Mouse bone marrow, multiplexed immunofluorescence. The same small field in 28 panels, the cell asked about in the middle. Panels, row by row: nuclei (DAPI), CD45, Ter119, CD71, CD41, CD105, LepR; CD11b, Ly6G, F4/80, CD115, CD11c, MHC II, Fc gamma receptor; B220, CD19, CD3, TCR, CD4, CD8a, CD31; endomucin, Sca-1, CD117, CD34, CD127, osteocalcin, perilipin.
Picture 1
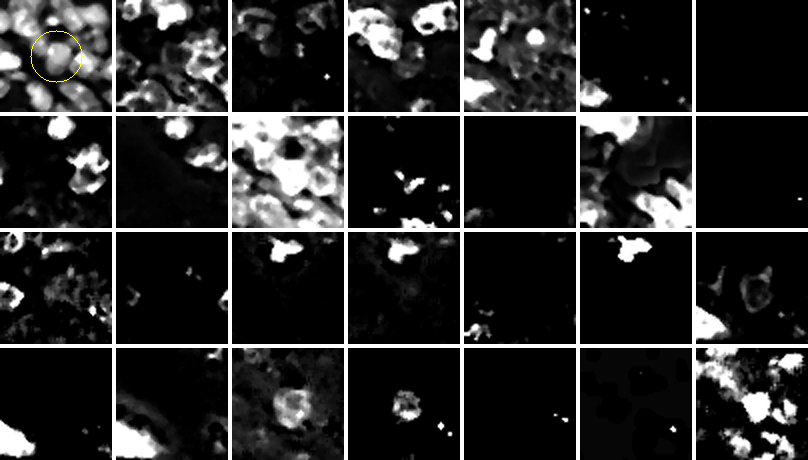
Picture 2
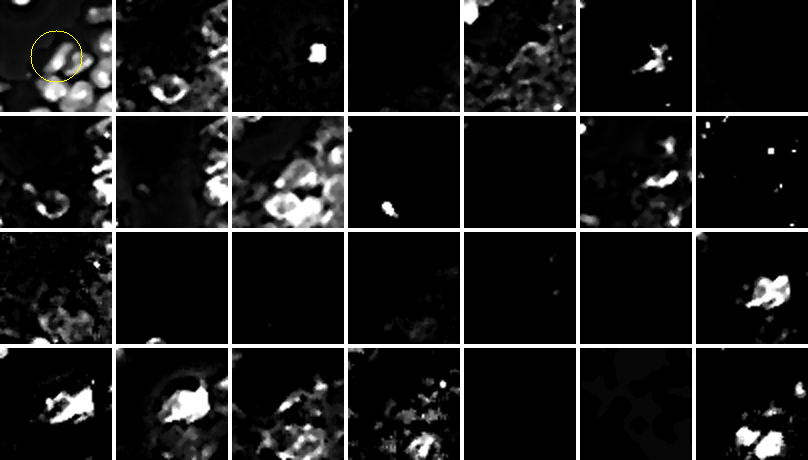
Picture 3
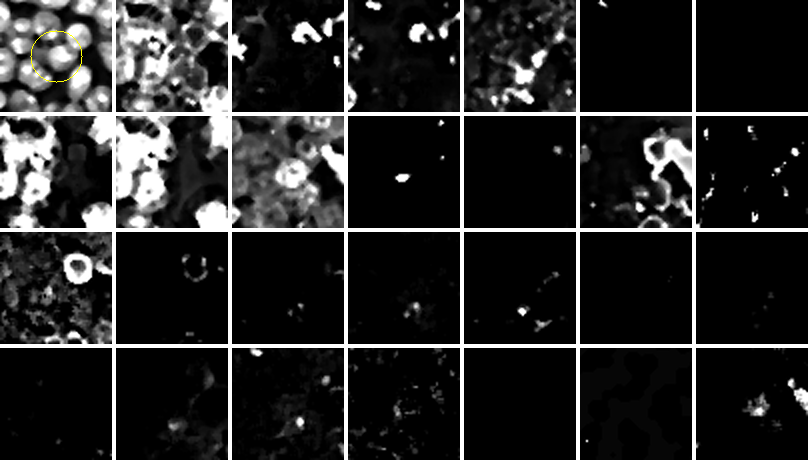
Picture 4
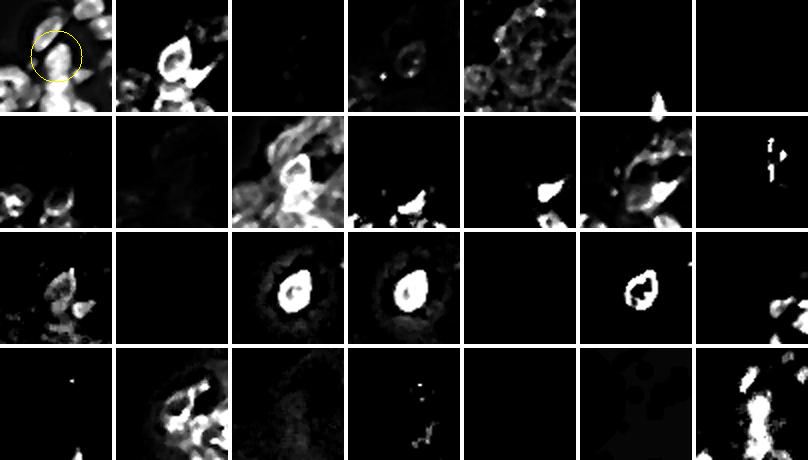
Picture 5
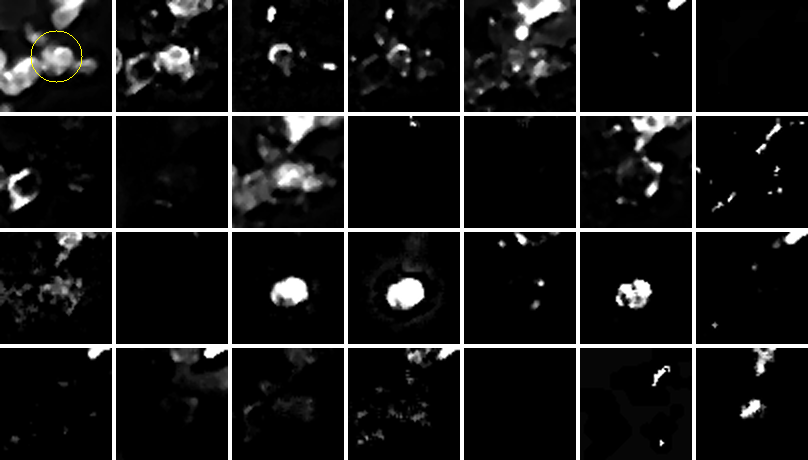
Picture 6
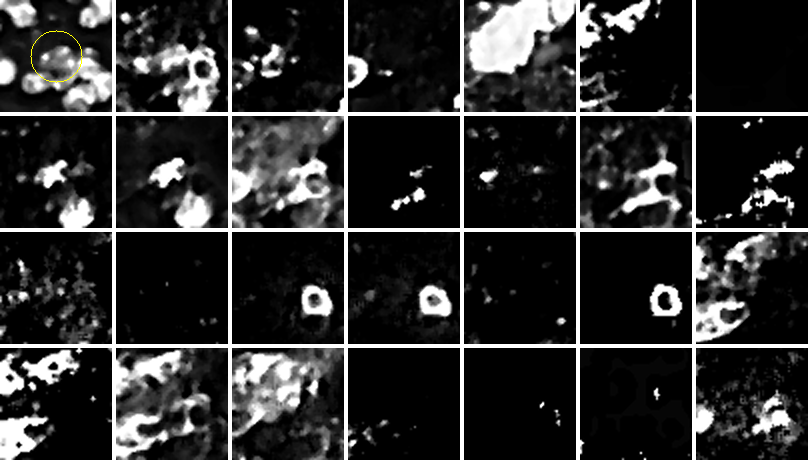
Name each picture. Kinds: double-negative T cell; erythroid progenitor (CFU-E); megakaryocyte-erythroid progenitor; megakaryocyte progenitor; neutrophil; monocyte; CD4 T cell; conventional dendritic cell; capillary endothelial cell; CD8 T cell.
1. erythroid progenitor (CFU-E)
2. capillary endothelial cell
3. monocyte
4. CD8 T cell
5. CD8 T cell
6. megakaryocyte progenitor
